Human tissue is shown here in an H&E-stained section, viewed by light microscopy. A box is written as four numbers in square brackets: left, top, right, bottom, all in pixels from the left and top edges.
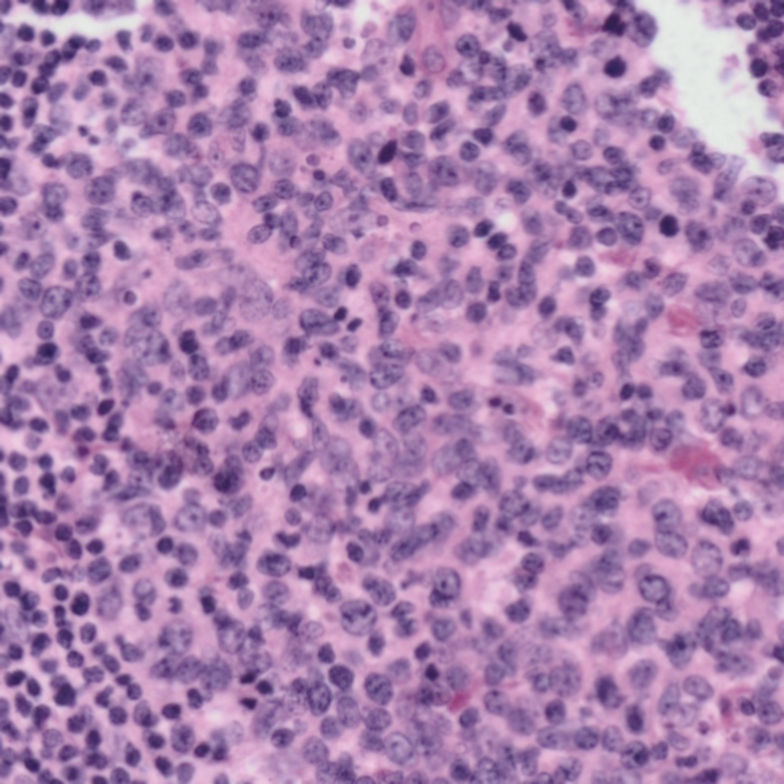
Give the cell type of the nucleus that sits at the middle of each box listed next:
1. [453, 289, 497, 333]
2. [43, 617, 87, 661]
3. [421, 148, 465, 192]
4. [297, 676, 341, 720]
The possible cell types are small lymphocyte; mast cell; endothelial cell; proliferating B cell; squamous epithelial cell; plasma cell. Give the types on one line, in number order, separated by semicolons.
proliferating B cell; small lymphocyte; proliferating B cell; proliferating B cell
